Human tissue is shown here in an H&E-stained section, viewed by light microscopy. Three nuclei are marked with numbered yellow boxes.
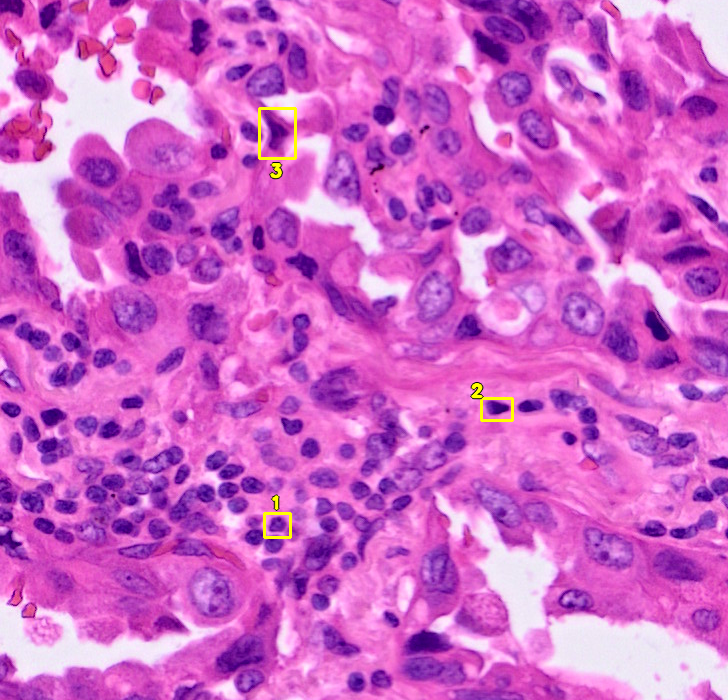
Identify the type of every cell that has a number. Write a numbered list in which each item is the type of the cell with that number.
1. lymphocyte
2. lymphocyte
3. carcinoma cell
